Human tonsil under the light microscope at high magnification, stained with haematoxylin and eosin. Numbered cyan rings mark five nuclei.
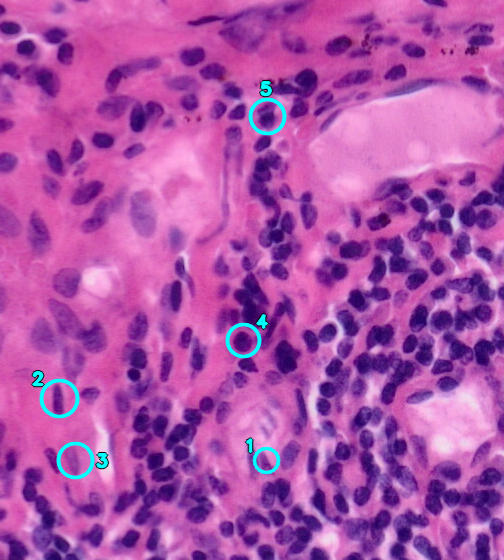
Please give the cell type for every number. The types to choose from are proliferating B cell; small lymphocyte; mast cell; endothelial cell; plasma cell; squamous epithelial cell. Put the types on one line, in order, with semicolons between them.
endothelial cell; mast cell; endothelial cell; plasma cell; plasma cell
